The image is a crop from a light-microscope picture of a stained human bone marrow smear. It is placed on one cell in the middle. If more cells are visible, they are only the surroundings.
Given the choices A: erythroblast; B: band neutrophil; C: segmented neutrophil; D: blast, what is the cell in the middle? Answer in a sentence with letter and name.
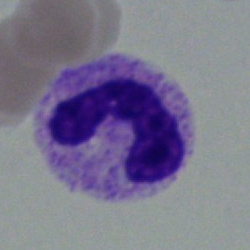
The cell placed in the middle is a band neutrophil; option B is correct.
